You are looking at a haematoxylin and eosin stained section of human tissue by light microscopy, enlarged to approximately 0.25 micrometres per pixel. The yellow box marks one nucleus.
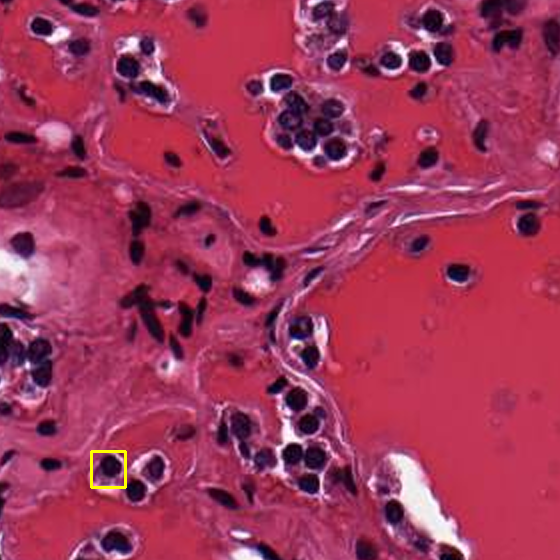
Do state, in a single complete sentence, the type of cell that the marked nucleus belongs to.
Within the picture, the marked nucleus belongs to a thyroid follicular cell.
